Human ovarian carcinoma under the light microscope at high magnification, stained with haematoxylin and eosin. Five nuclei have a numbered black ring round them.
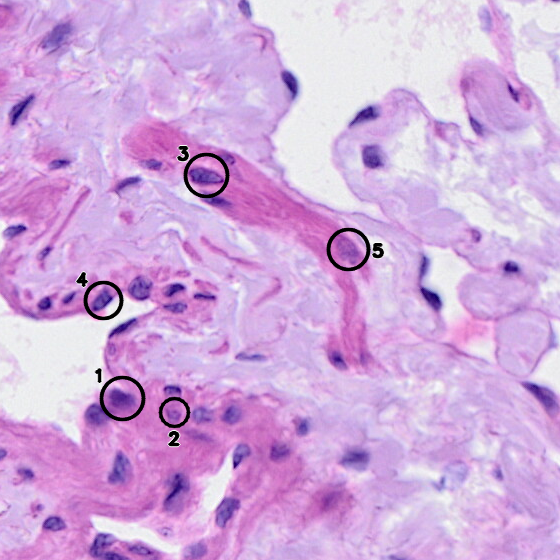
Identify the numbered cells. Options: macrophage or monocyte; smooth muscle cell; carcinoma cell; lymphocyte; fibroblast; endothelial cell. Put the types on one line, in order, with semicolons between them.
endothelial cell; smooth muscle cell; smooth muscle cell; endothelial cell; smooth muscle cell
